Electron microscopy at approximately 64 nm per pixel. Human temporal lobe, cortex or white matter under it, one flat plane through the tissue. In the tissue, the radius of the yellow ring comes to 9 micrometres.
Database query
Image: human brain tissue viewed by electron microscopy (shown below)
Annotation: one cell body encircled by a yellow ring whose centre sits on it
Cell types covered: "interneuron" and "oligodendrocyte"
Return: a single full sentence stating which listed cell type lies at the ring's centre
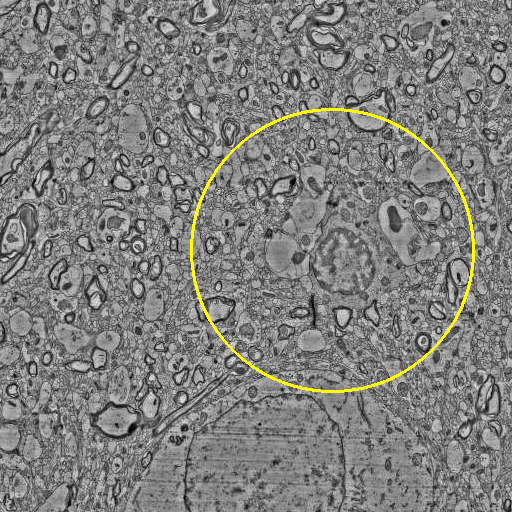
In the image, the cell lying at the ring's centre is an oligodendrocyte.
